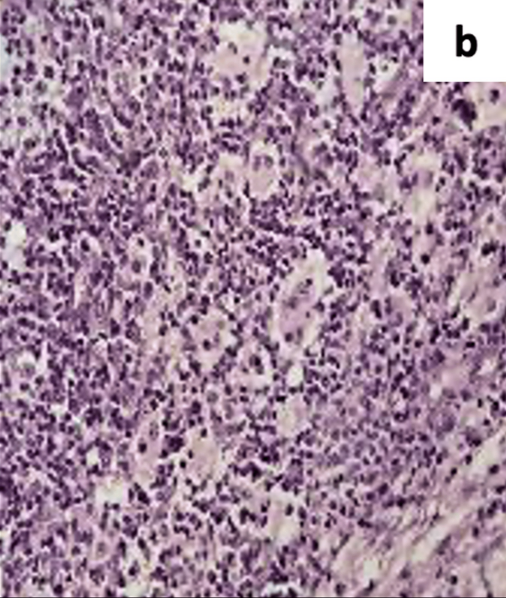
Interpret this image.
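A dense cellular infiltrate fills the field, made up mostly of small cells with dark, round nuclei and scant cytoplasm, in keeping with lymphocytes and plasma cells. Scattered among them, singly and in loose groups, are much larger cells with abundant pale pink cytoplasm and indistinct borders. These large pale cells are histiocytes, standing out as lighter islands against the crowded dark background. Some of the large cells appear to hold smaller dark nuclei within their cytoplasm, which would fit emperipolesis, though this is hard to be sure of at this magnification. Toward the lower right the cells thin out into a more fibrous, streaming pattern.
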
